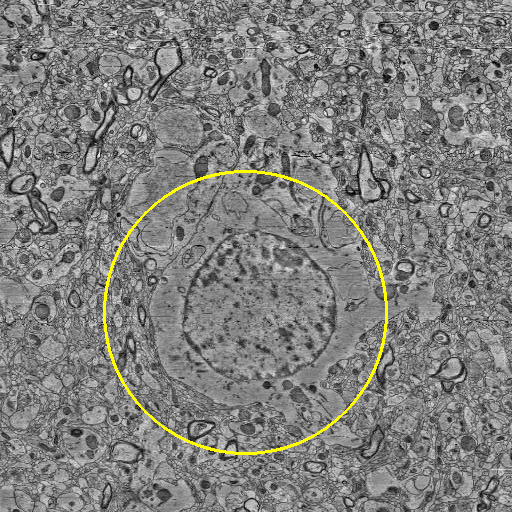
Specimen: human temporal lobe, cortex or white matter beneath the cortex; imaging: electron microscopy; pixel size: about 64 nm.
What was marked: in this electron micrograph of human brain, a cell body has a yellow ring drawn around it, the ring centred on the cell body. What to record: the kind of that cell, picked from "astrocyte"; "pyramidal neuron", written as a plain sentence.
The centred cell is an astrocyte.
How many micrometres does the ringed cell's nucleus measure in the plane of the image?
Roughly 10 micrometers across, in this plane.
